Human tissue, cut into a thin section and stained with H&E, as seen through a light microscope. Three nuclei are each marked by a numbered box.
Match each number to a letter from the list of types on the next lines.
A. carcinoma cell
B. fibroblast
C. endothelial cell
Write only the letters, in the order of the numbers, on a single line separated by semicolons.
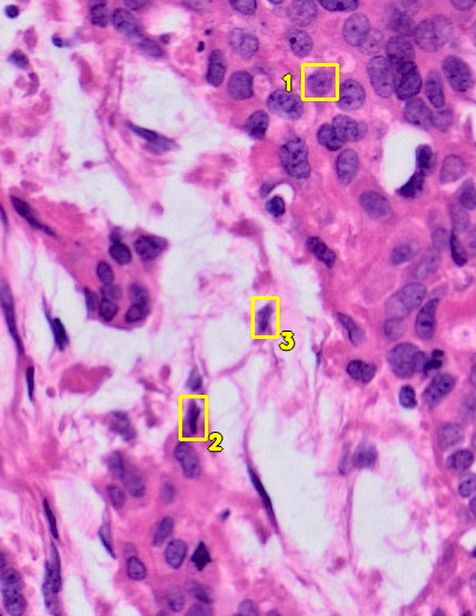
A; B; B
